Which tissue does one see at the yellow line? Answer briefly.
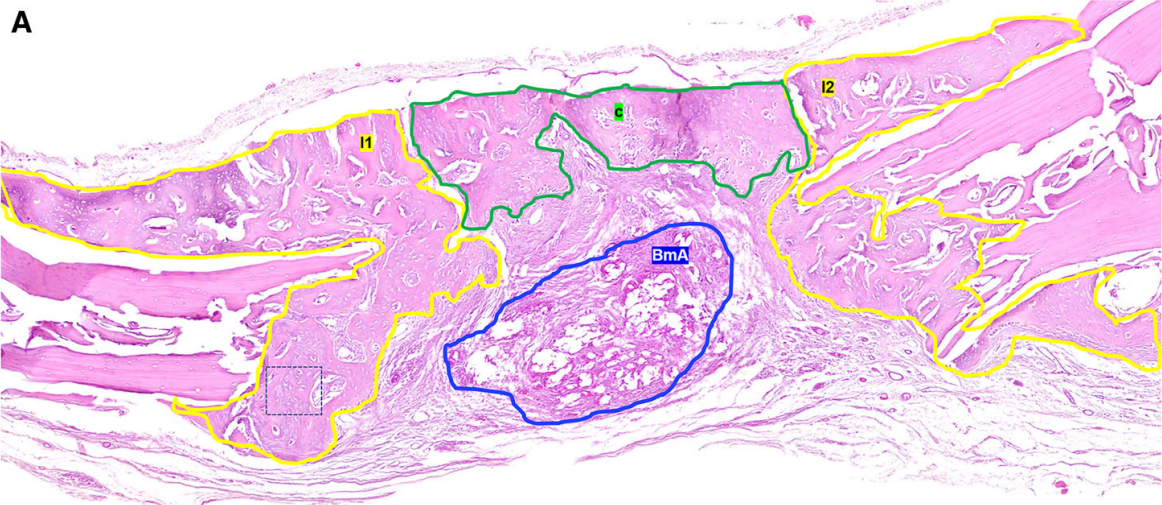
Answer: Newly formed bone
